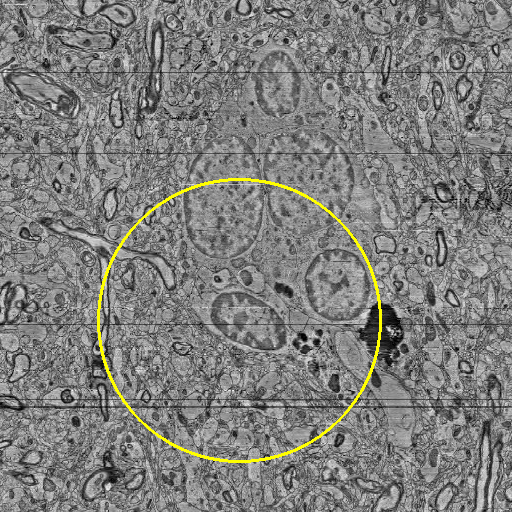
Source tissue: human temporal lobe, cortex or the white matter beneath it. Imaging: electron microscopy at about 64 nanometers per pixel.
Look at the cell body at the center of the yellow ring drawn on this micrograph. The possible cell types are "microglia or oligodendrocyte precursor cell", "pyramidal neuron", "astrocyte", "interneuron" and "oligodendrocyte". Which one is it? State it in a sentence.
The cell in the middle of the ring is a microglial cell or oligodendrocyte precursor cell.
